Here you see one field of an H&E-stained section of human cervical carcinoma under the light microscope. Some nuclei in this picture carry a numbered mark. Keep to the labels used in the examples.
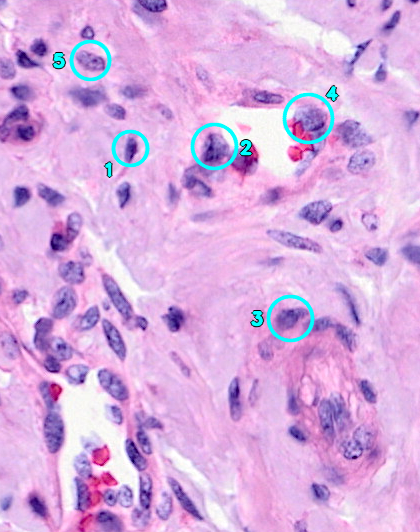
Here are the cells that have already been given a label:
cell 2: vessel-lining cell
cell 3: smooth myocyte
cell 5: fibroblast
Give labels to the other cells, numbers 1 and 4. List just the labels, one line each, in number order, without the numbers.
fibroblast
vessel-lining cell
